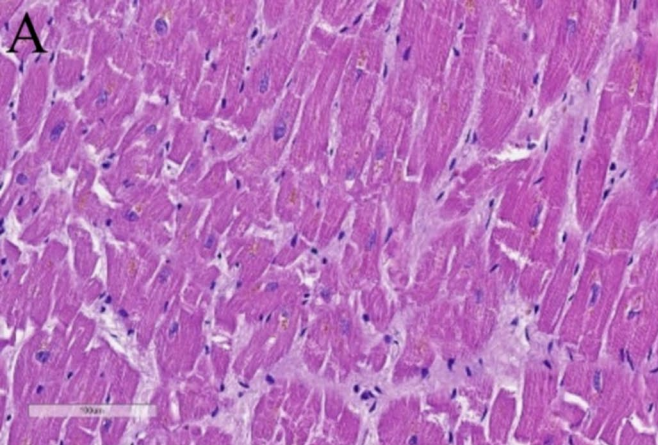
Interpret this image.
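This is heart muscle, with cardiomyocytes cut longitudinally and obliquely. The muscle fibres are elongated, branching and stain pink-red, each with a single oval, centrally placed nucleus. Many fibres are broken into short segments separated by pale clefts, giving a fragmented appearance. Between the fibres lie thin, dark, spindle-shaped nuclei of interstitial cells in a pale, loose connective tissue. Faint yellow-brown granules can be seen within some fibres near the nuclei.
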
